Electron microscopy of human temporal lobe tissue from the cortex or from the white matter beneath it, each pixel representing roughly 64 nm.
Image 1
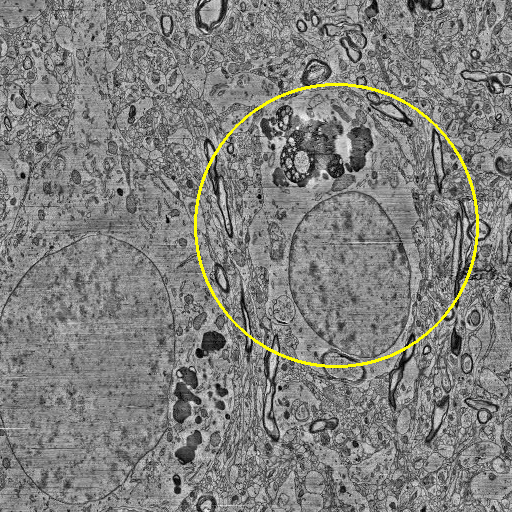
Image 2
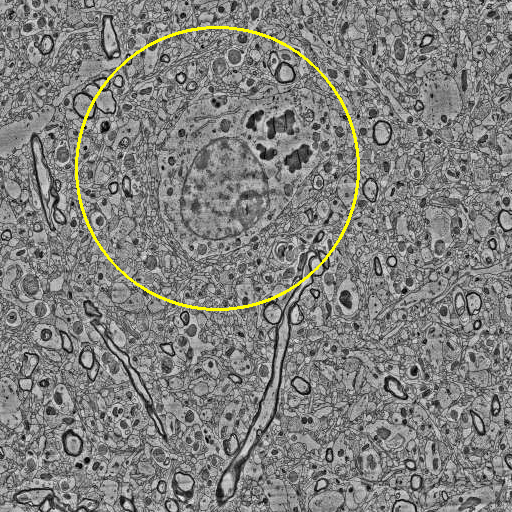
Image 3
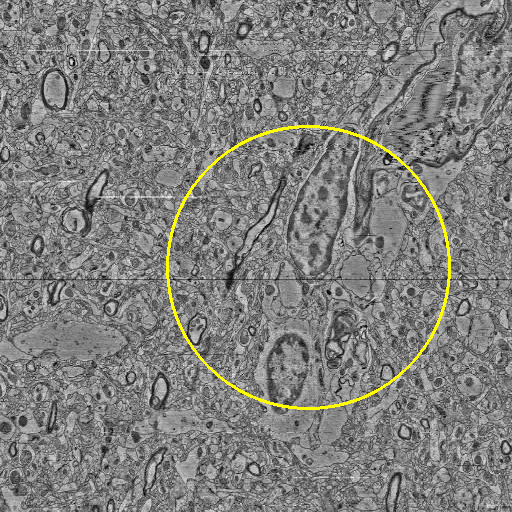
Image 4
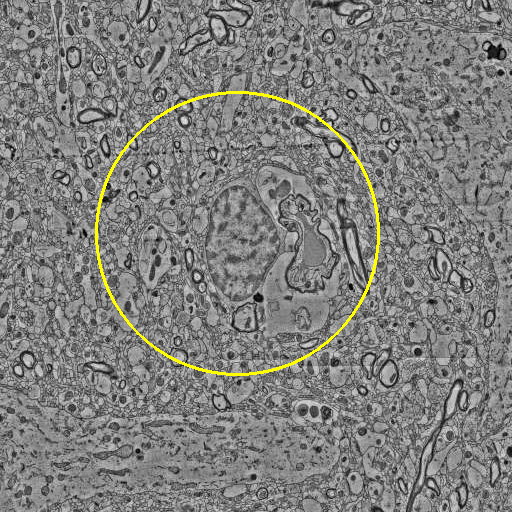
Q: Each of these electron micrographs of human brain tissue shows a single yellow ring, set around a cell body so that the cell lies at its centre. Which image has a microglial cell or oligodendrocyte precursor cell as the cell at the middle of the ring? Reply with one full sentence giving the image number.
In image 3, the cell lying at the ring's centre is the requested one.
